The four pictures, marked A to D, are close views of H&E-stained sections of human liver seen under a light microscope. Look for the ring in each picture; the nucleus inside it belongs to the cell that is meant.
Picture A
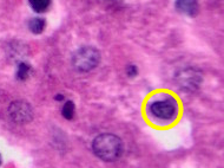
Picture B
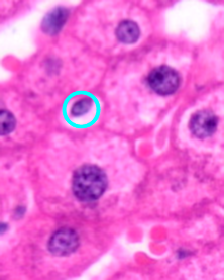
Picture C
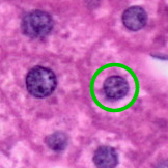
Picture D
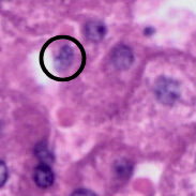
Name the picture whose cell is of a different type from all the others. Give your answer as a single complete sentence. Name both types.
All pictures except C show Kupffer cells; picture C shows a hepatocyte.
